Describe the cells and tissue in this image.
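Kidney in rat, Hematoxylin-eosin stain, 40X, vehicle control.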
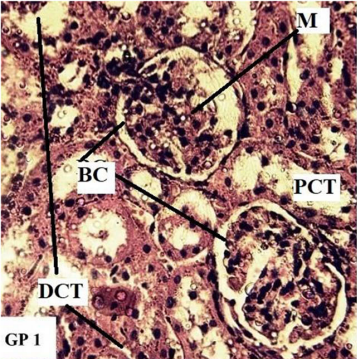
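This is renal cortex with two glomeruli and the tubules around them. Each glomerulus is a rounded tuft of capillary loops crowded with dark purple nuclei, lying within a clear space bounded by a thin flattened capsule. Between the loops lies the mesangium. Around the glomeruli are many tubules cut across: some lined by cuboidal cells with pink cytoplasm and a narrow, fuzzy lumen, others with a wider, clearer lumen and more regularly spaced round nuclei. The tubules are packed closely, their lining cells intact, and the tissue looks orderly, without obvious degeneration.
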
